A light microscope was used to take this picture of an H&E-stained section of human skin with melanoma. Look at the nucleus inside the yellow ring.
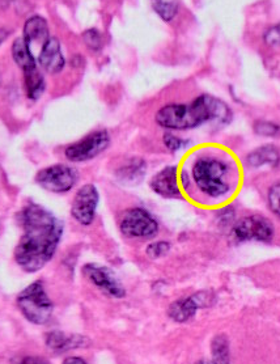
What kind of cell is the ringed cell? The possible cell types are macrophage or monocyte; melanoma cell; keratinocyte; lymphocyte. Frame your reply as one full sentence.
The expected answer is simply that the ringed cell is a melanoma cell.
